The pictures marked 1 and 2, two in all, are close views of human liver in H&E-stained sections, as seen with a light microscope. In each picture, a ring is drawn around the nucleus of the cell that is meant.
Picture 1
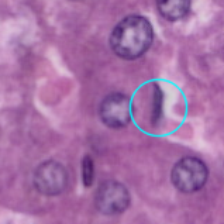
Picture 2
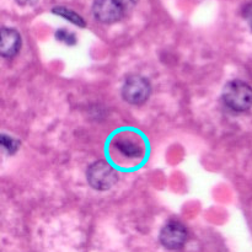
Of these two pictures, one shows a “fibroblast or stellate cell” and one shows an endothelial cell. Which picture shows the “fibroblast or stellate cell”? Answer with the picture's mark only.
2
